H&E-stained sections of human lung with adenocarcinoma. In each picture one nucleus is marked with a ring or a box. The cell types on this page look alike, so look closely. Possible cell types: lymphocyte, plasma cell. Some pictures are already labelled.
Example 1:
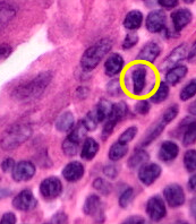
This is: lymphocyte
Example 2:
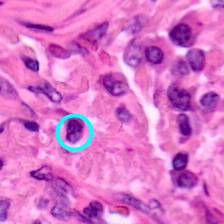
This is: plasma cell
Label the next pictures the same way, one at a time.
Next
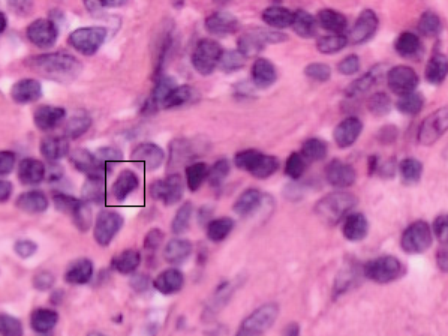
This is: lymphocyte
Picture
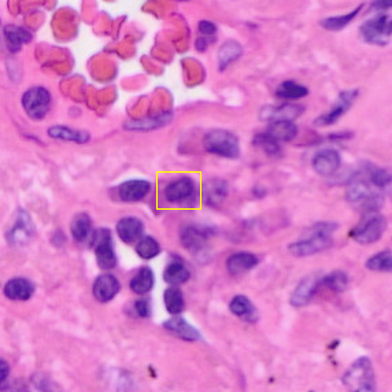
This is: plasma cell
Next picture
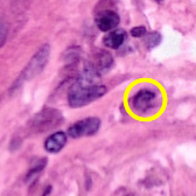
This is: plasma cell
